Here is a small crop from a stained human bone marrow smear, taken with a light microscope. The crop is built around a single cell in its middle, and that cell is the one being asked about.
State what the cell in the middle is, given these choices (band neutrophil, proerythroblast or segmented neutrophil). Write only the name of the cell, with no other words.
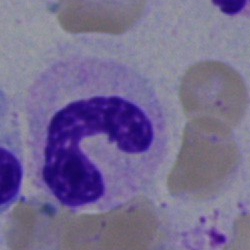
band neutrophil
